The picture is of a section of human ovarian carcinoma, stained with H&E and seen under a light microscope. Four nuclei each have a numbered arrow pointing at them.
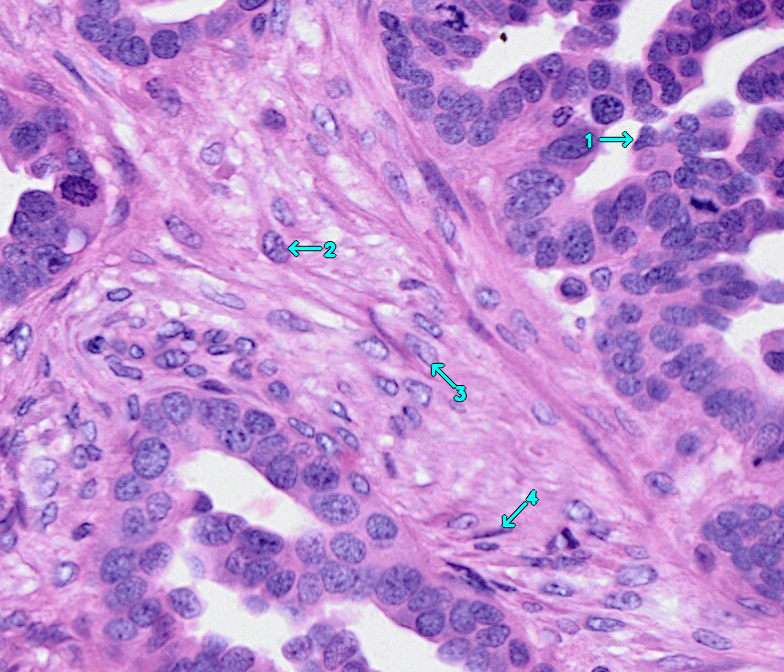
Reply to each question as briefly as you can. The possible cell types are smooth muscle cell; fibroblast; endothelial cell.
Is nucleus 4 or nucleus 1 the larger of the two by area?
1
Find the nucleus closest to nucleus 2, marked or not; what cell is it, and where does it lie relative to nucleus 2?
a fibroblast, above nucleus 2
